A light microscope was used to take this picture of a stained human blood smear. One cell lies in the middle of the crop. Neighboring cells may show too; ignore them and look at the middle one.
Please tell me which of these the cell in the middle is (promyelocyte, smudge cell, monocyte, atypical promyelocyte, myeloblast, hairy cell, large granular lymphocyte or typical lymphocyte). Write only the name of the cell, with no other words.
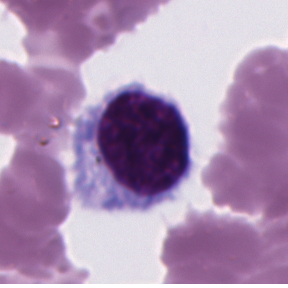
hairy cell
